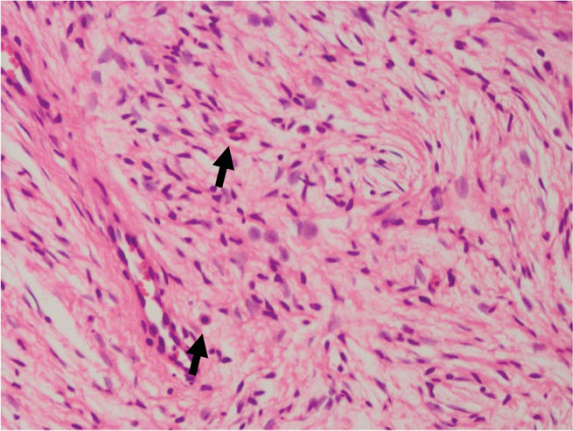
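A high-power view of a tumor made of spindle cells in a loose, pale pink fibrillar stroma. The nuclei are dark purple, slender and elongated, many tapered at both ends and some curved, with little visible cytoplasm. They are scattered without tight packing, running in varied directions, with wavy pink fibers between them. At the left a narrow elongated vascular channel lined by flattened cells crosses the field. A few small round cells with denser cytoplasm are scattered among the spindle cells, two of them marked by black arrows.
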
